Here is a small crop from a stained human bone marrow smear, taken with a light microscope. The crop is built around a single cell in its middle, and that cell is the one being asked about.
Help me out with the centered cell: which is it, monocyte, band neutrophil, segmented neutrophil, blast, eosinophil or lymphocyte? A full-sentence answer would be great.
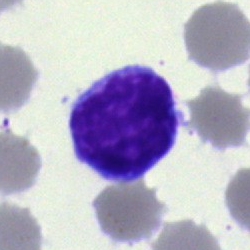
The cell sitting right in the middle is a lymphocyte.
